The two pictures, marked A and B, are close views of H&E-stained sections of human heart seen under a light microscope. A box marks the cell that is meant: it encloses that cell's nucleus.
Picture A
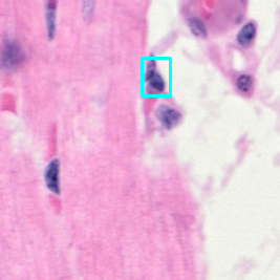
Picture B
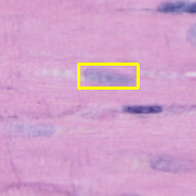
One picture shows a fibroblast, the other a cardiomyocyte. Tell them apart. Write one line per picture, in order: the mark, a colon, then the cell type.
A: fibroblast
B: cardiomyocyte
